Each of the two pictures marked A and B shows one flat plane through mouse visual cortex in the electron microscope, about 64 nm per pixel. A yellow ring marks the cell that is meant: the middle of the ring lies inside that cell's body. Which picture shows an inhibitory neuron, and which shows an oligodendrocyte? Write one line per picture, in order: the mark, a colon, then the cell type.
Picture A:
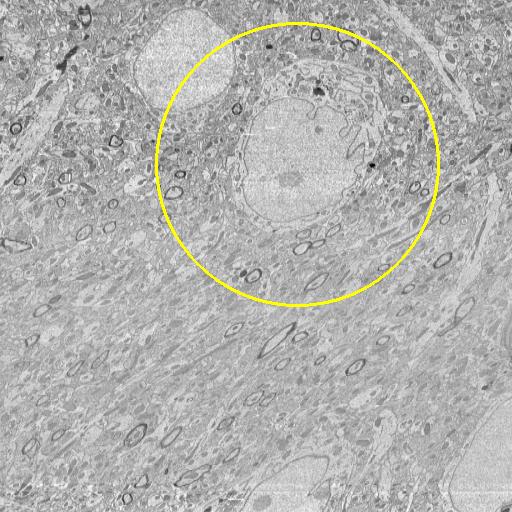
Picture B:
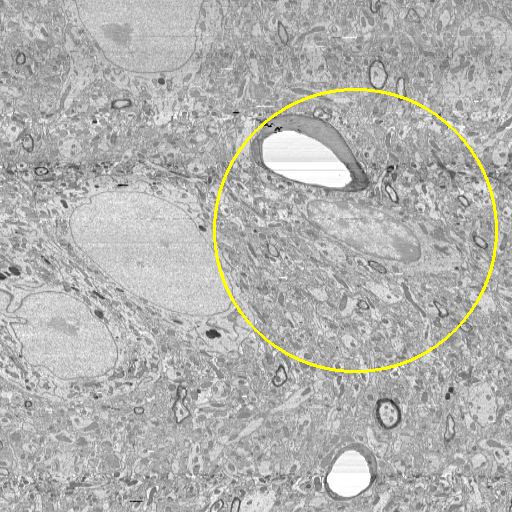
A: inhibitory neuron
B: oligodendrocyte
